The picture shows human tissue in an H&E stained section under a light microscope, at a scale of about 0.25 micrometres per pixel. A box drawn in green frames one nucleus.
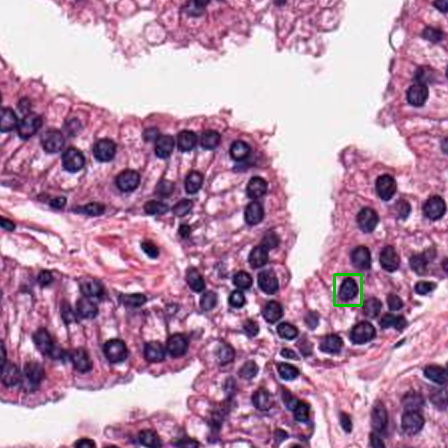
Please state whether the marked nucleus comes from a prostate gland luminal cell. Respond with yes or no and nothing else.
yes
